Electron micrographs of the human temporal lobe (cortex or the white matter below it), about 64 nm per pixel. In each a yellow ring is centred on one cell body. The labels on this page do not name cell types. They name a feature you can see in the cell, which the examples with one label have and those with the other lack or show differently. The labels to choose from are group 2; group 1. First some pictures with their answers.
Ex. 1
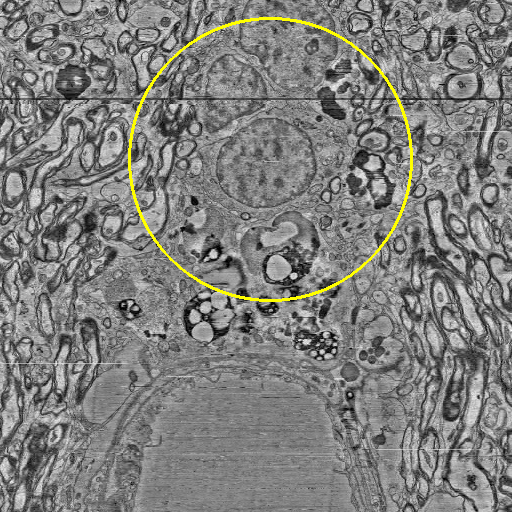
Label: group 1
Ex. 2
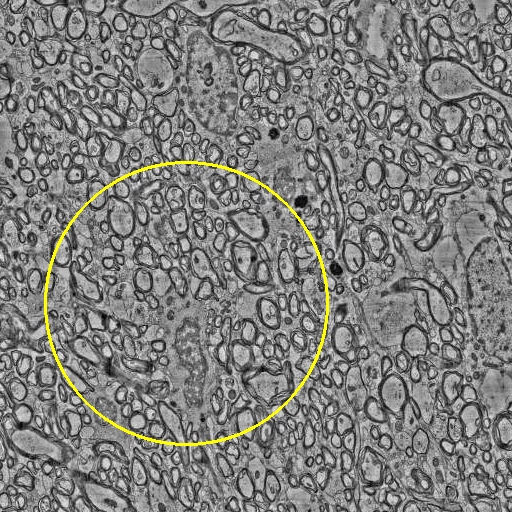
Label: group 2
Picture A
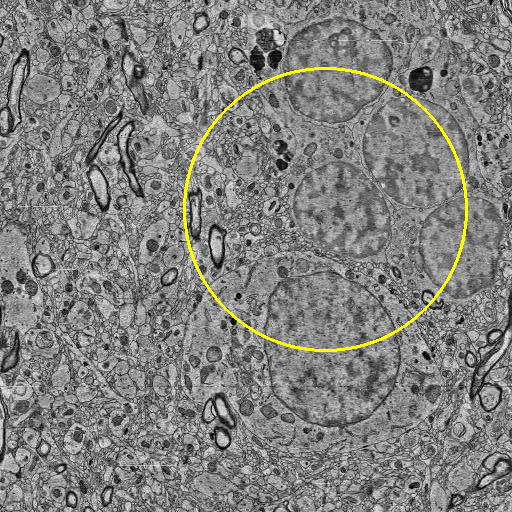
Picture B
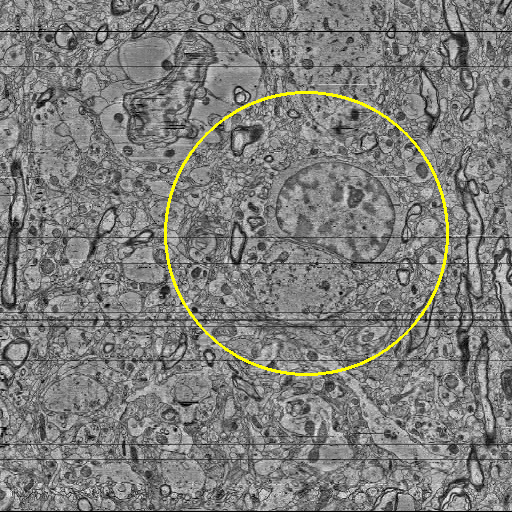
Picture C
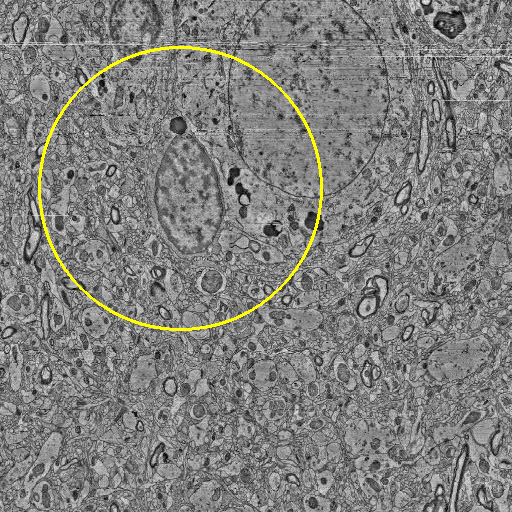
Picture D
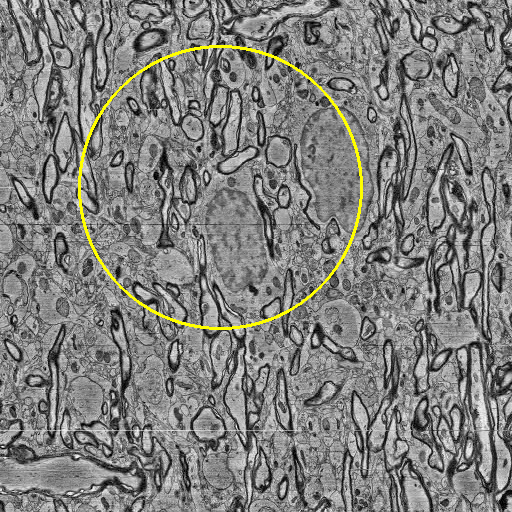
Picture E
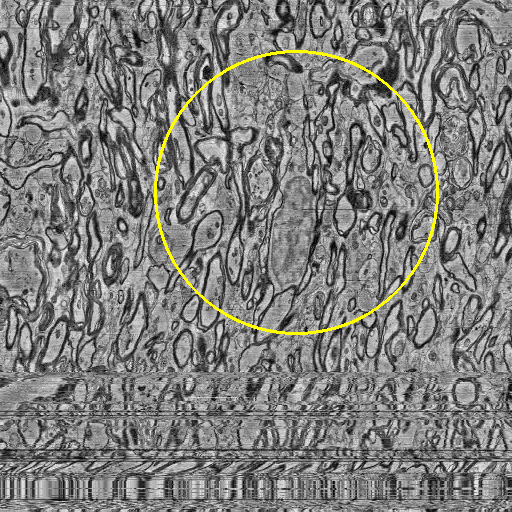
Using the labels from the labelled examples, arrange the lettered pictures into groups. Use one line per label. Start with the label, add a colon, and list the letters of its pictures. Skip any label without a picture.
group 2: C, D, E
group 1: A, B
